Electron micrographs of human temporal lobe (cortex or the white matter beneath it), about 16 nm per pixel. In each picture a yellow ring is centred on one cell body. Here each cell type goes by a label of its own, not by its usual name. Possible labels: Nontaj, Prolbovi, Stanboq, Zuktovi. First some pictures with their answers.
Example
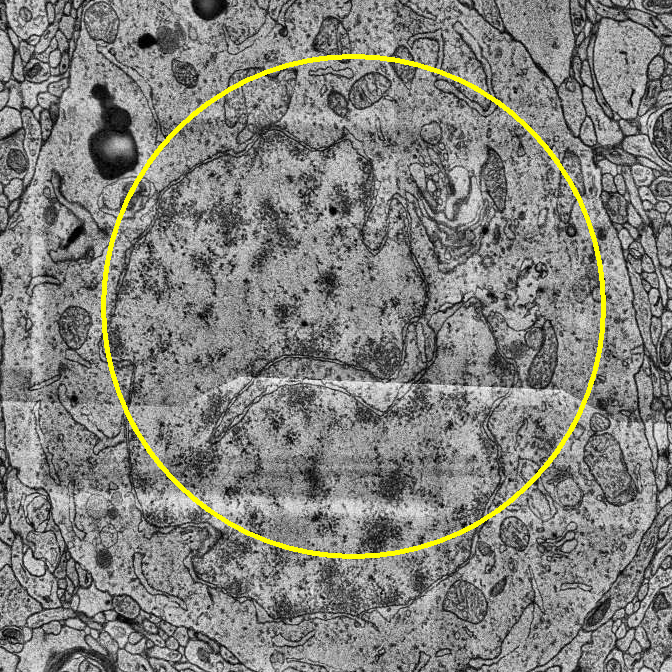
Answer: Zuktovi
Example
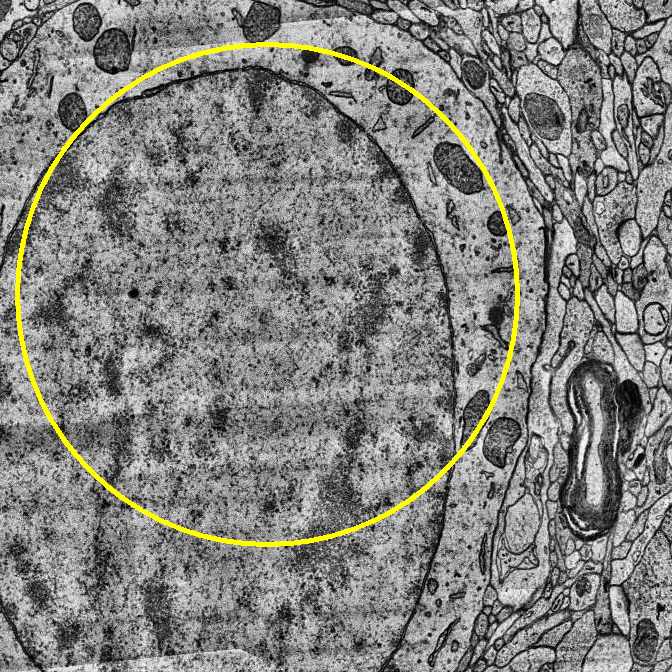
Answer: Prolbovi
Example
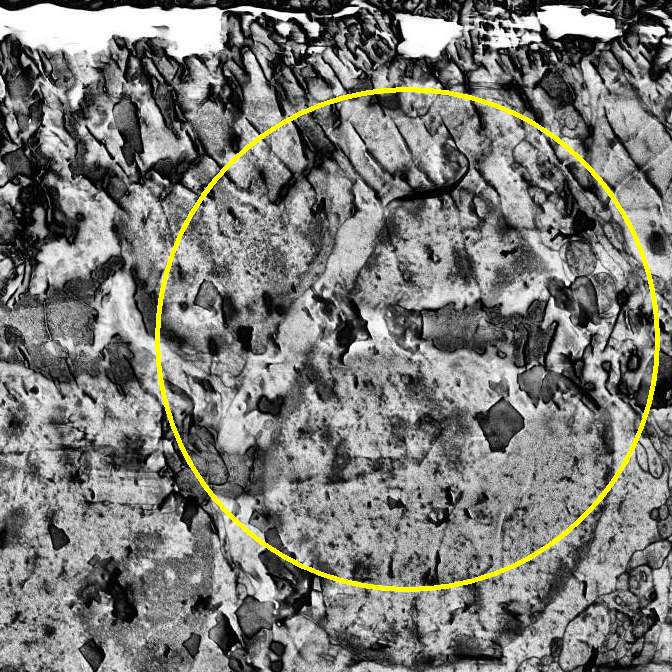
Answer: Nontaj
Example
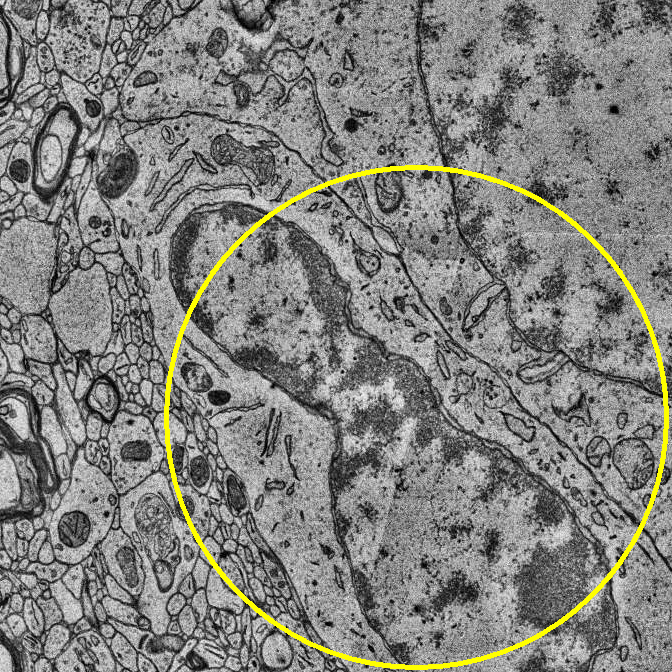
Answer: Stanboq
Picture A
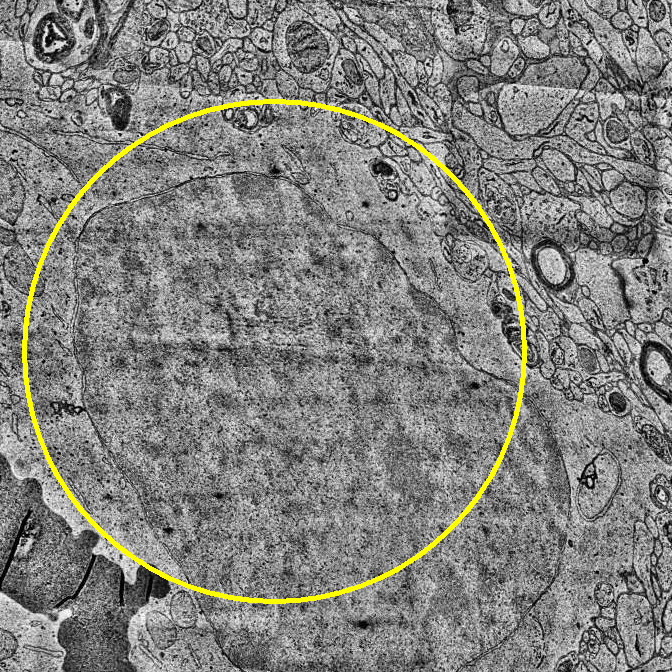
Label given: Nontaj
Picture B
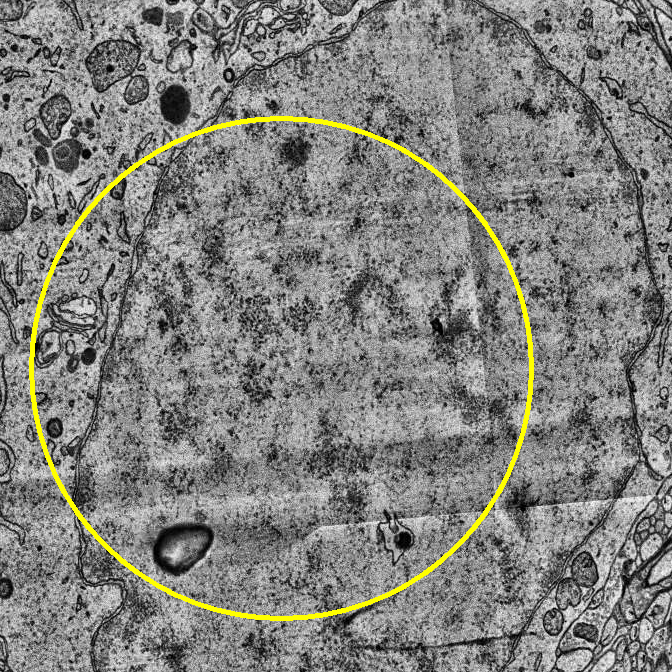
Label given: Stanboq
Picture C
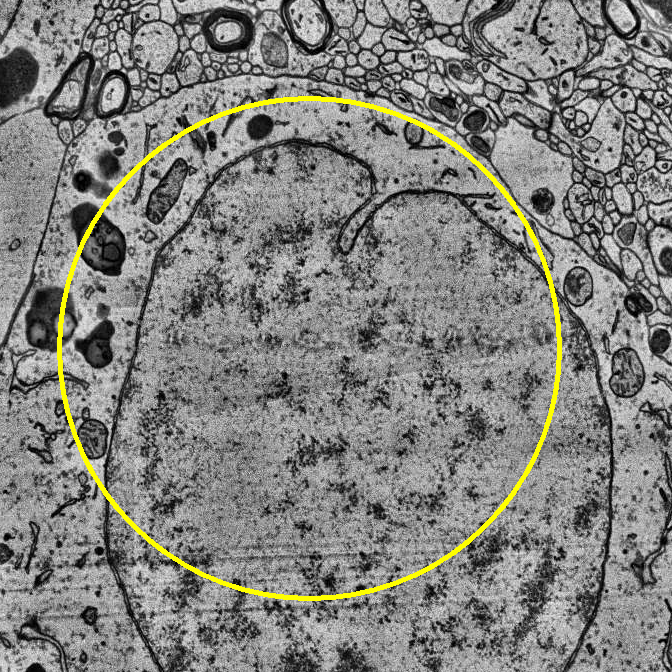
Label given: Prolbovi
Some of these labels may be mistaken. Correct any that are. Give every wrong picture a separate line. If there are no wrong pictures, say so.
B: Zuktovi, not Stanboq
